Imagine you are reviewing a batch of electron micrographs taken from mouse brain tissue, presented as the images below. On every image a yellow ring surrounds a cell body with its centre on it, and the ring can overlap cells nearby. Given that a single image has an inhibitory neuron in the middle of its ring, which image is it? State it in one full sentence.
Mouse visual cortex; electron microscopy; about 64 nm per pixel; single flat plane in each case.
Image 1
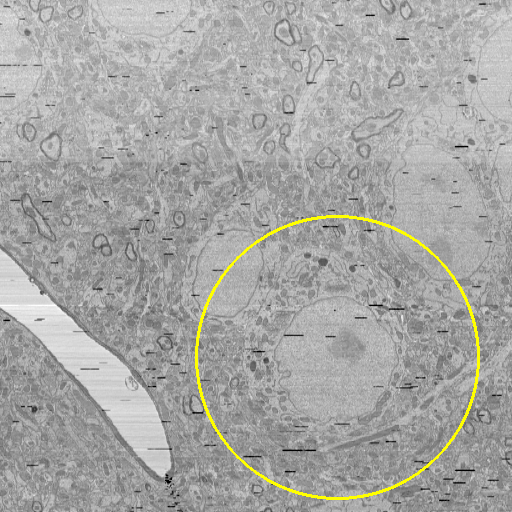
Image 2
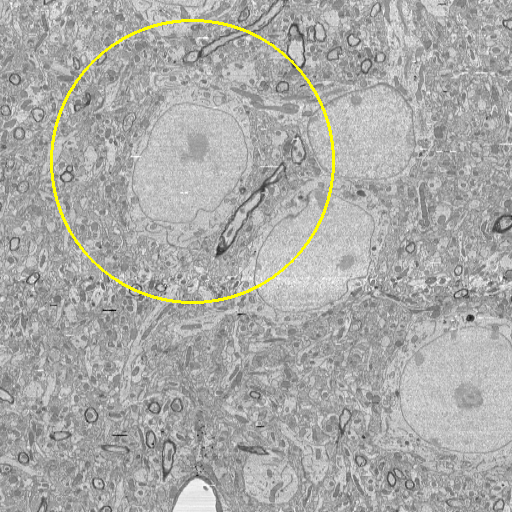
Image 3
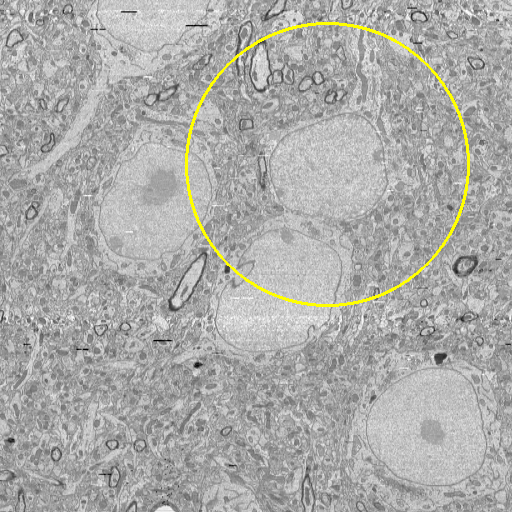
Of all the images, number 1 has the described cell at the centre of its ring.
